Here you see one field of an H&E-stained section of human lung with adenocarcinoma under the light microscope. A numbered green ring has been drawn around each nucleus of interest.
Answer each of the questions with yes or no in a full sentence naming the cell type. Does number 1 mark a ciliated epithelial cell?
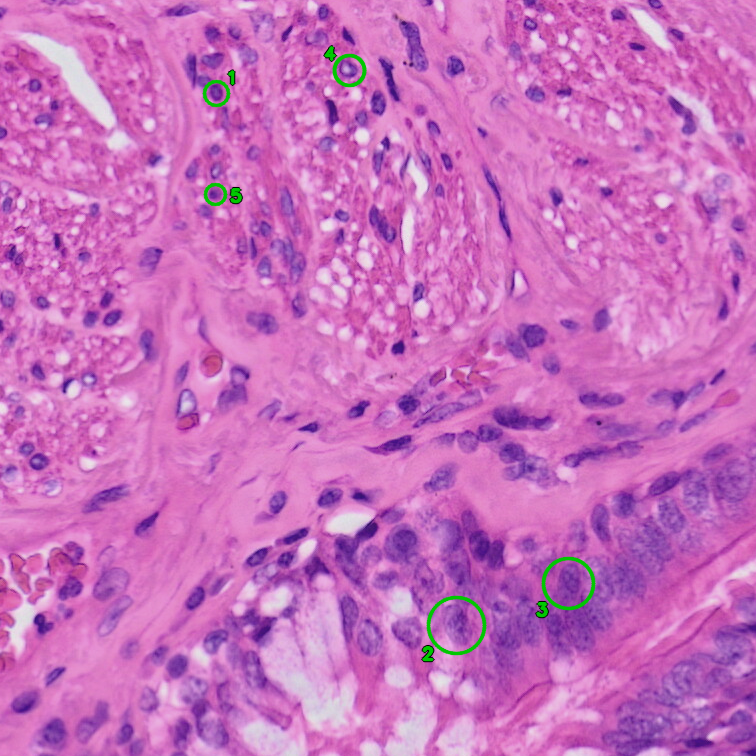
No, a ciliated epithelial cell is not what cell 1 is; it is a smooth muscle cell or pericyte.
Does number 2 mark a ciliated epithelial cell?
Yes, the cell identified by number 2 is a ciliated epithelial cell.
